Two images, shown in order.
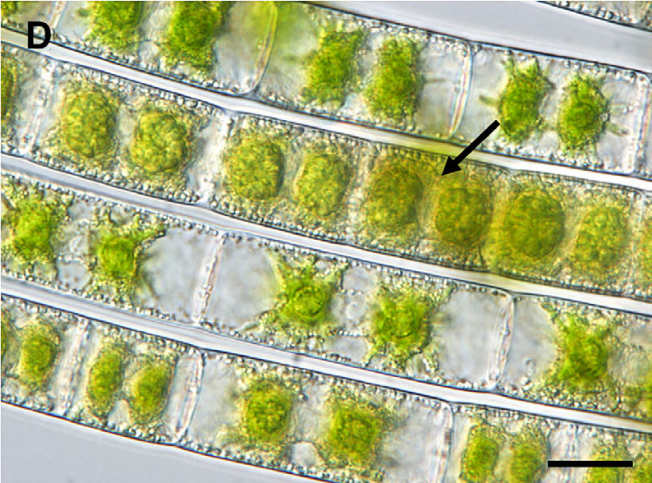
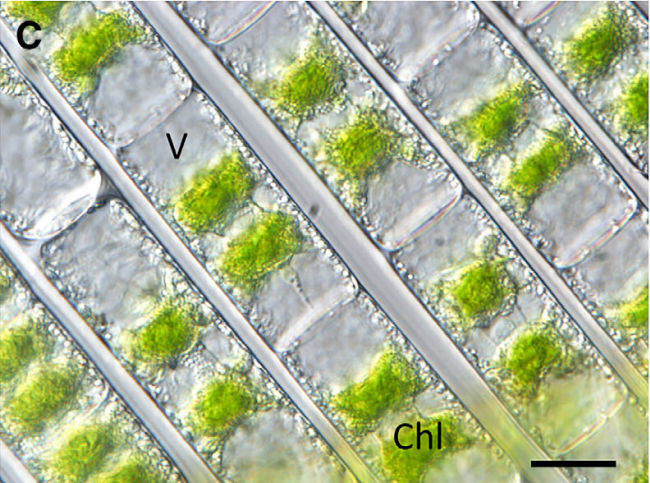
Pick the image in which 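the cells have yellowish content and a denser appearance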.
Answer: The first image.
